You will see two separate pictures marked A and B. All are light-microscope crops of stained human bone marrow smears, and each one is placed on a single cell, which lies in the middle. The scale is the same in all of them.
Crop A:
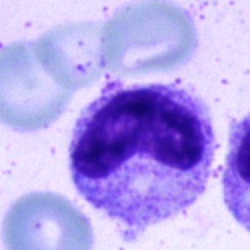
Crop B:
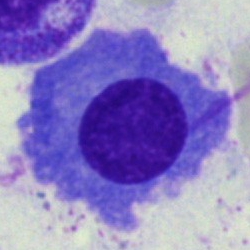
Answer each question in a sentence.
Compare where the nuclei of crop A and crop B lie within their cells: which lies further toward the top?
Seen within its cell, the nucleus in crop A lies further toward the top.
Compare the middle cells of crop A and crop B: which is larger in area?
The cell in crop B is larger, with about 1.5 times the area of the one in crop A.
